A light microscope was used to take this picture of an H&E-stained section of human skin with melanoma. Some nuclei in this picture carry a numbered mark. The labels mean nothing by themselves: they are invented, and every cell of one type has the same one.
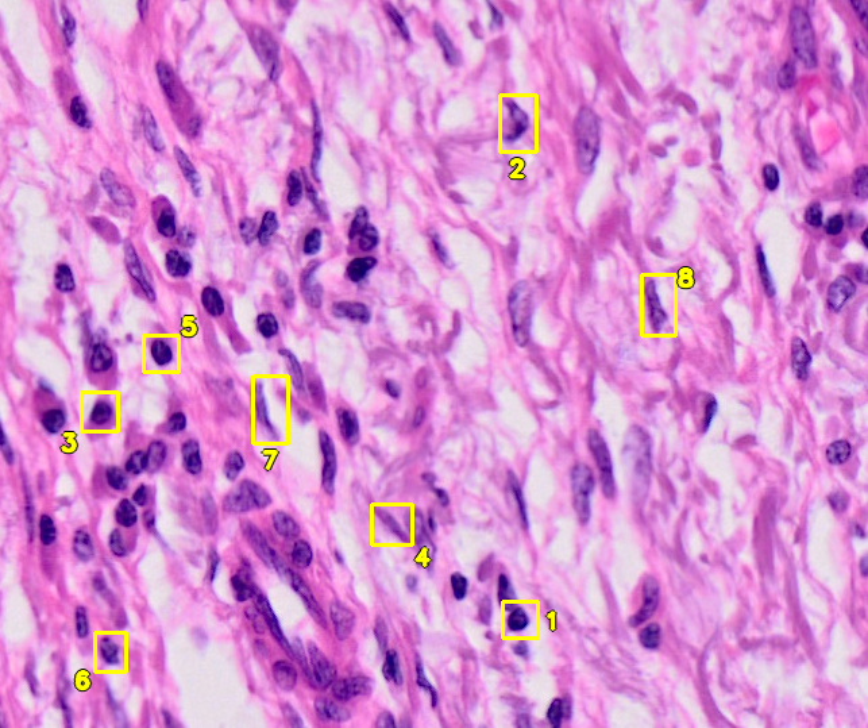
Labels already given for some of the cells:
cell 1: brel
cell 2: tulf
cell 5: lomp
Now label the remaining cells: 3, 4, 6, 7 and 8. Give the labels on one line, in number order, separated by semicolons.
lomp; tulf; brel; tulf; tulf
